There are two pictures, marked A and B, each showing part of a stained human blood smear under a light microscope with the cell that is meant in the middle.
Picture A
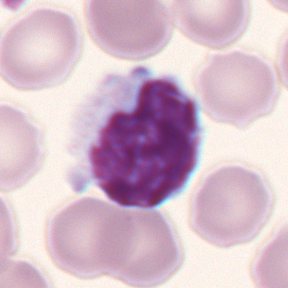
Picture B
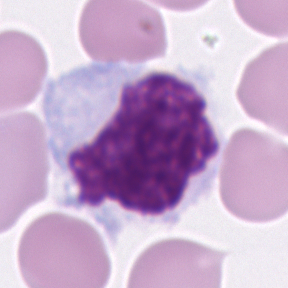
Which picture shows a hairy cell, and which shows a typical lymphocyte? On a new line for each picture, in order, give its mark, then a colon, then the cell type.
A: typical lymphocyte
B: hairy cell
